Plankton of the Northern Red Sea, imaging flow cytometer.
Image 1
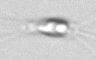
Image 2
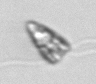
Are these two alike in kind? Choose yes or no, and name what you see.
No. First Chrysochromulina parkeae, second Pyramimonas.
